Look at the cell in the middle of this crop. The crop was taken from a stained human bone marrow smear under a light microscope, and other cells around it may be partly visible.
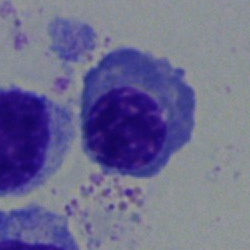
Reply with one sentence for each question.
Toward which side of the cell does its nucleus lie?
Toward the lower left of the cell lies its nucleus.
